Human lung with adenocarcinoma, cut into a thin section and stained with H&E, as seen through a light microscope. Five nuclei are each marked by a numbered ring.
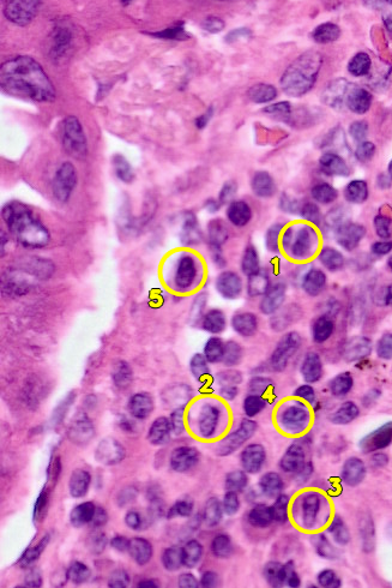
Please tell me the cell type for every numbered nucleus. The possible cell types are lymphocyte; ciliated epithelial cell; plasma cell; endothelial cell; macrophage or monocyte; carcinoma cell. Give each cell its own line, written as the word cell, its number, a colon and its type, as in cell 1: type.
cell 1: lymphocyte
cell 2: lymphocyte
cell 3: plasma cell
cell 4: lymphocyte
cell 5: plasma cell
